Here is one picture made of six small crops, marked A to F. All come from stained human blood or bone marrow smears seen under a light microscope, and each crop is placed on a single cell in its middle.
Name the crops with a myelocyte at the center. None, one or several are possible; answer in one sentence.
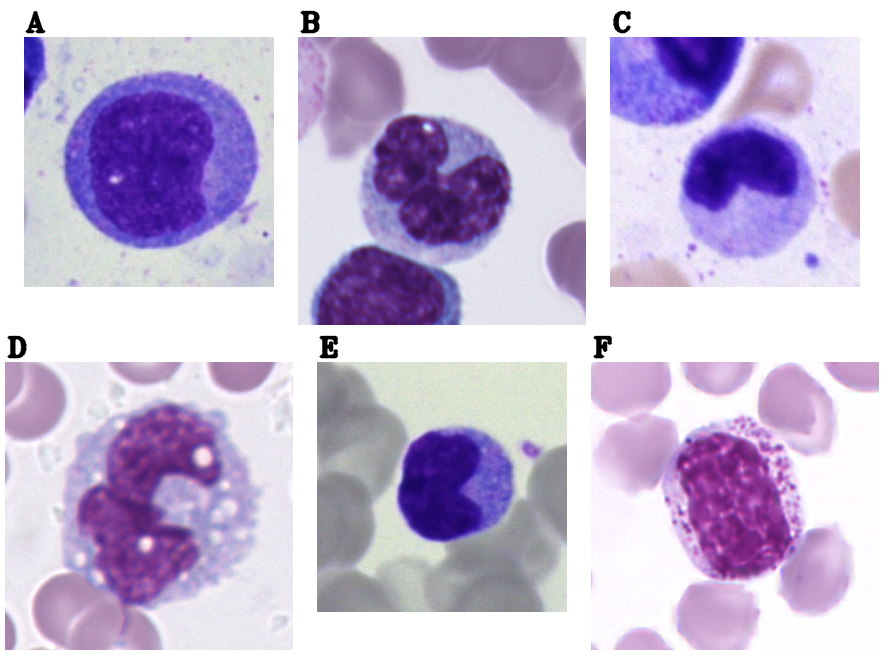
Zero crops in this set show a myelocyte.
